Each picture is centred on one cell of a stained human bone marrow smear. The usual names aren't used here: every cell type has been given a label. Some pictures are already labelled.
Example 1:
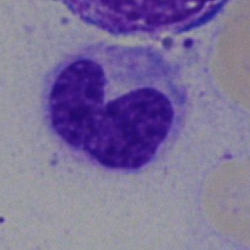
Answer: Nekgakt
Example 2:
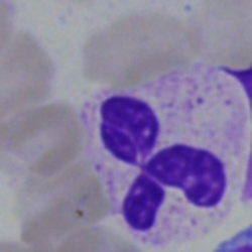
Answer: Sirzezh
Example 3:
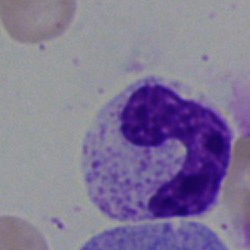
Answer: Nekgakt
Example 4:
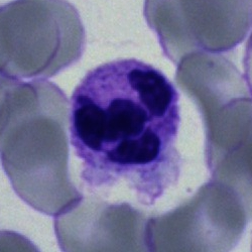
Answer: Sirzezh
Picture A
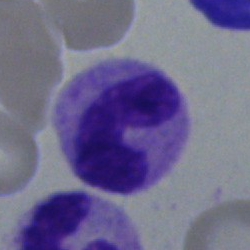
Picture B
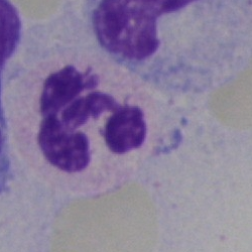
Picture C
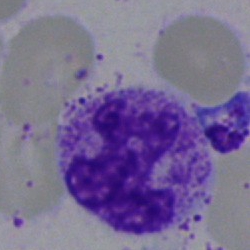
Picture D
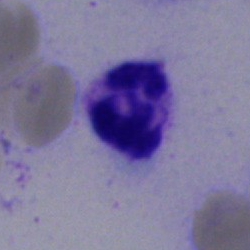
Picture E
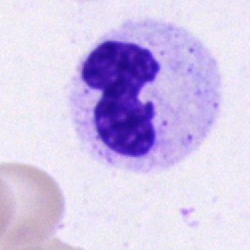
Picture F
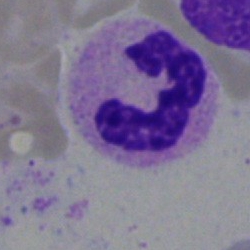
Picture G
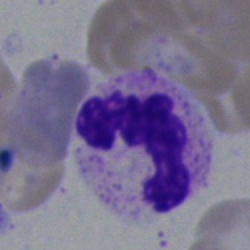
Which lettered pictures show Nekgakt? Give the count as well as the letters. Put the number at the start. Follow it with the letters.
Count: 1 (A)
